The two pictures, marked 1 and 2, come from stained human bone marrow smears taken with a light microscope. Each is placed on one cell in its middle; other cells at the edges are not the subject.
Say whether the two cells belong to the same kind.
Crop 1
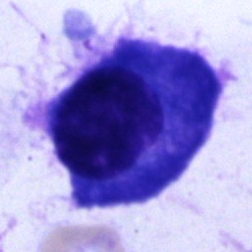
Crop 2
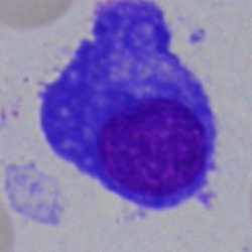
yes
